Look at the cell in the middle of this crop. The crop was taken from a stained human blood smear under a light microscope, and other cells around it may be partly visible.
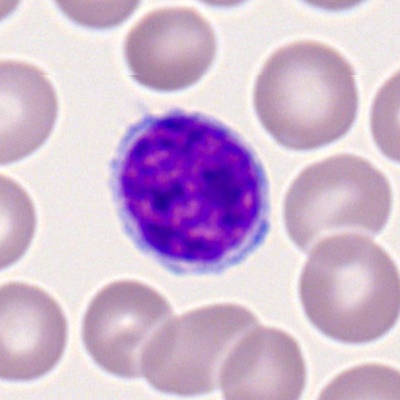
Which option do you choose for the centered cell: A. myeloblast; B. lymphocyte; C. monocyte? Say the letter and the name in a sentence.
The central cell, a lymphocyte, is correctly identified by option B.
